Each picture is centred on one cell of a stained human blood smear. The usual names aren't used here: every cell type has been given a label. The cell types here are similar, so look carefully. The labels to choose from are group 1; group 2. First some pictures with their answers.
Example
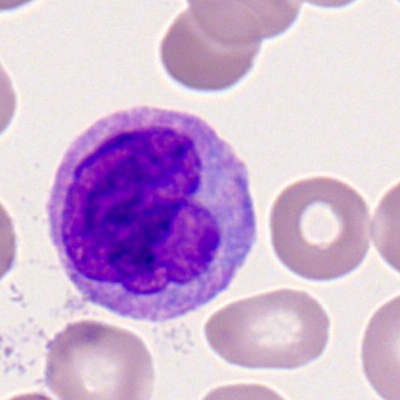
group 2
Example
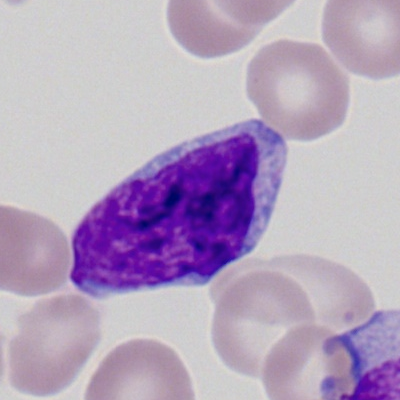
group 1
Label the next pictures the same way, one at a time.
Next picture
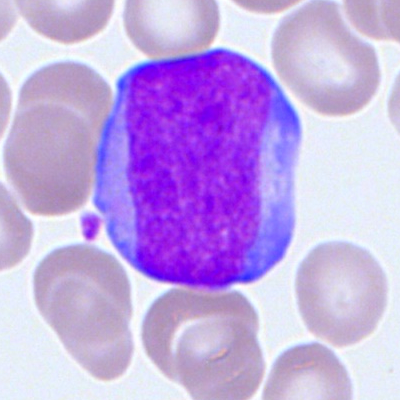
group 1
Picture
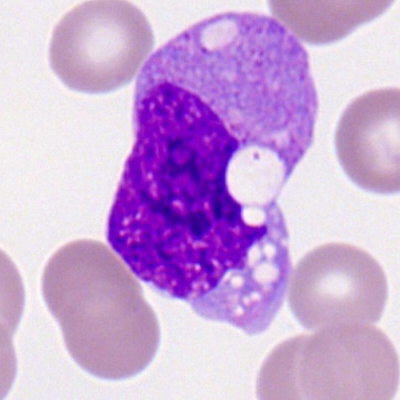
group 2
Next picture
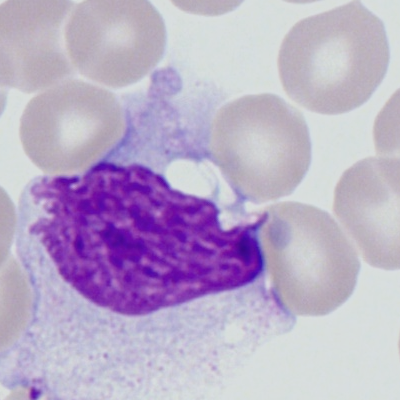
group 2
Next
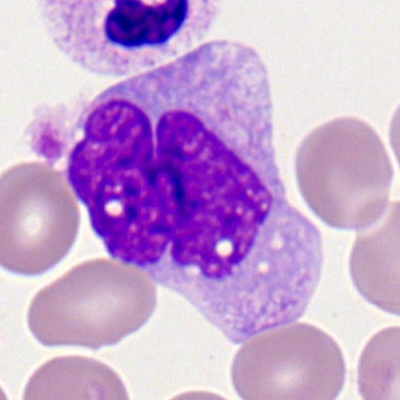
group 2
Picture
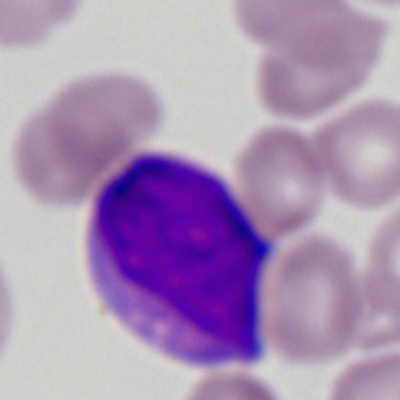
group 1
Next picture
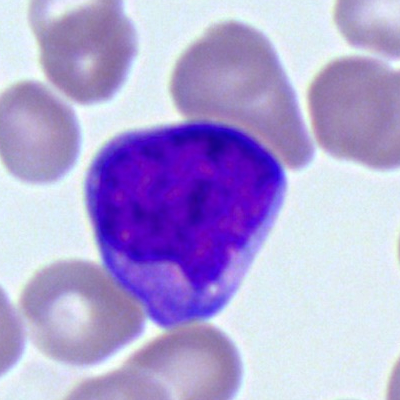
group 1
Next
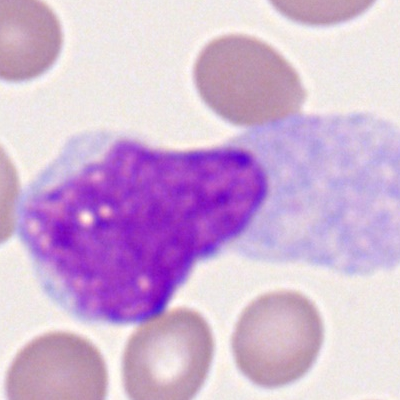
group 2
